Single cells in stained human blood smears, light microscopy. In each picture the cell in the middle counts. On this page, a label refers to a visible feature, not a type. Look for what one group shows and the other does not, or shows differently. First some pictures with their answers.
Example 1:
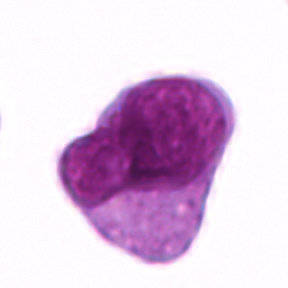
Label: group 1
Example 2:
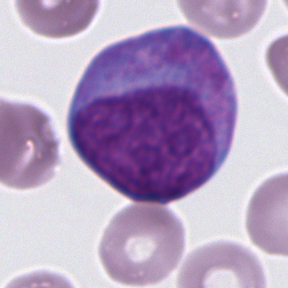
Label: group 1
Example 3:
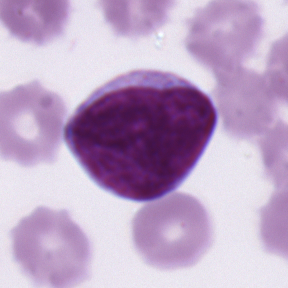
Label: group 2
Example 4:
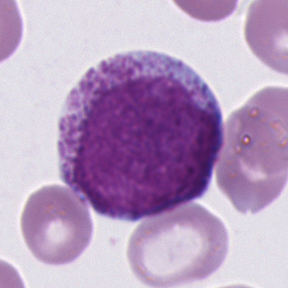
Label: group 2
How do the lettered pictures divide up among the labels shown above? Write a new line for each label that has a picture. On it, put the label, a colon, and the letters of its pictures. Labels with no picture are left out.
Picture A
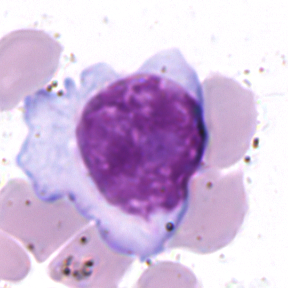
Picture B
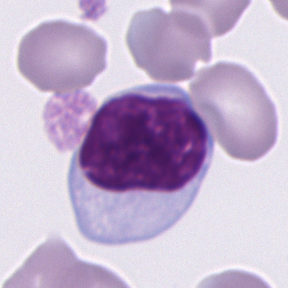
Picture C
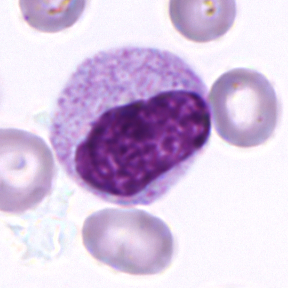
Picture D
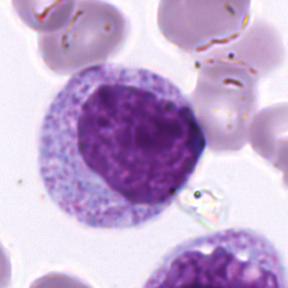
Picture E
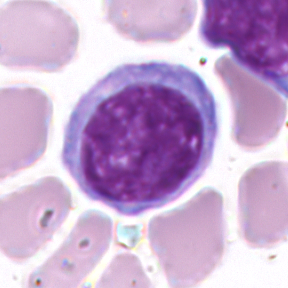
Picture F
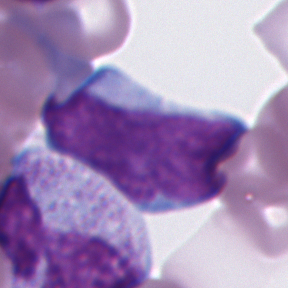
group 1: A, B, C, D
group 2: E, F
